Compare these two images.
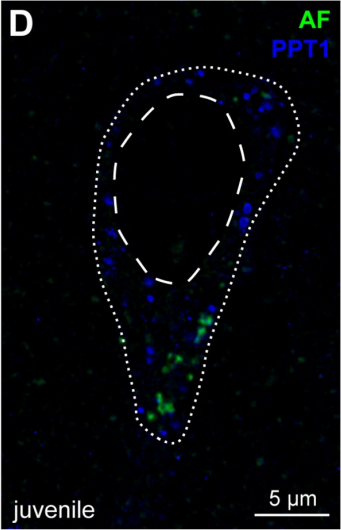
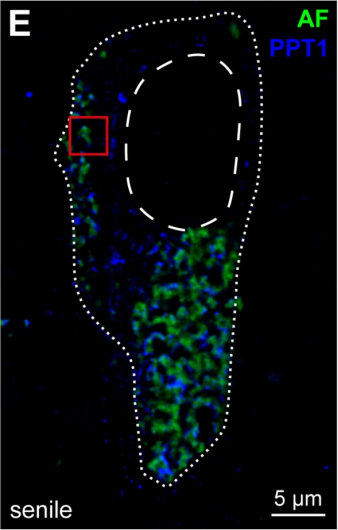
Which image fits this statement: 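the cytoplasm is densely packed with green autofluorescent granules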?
The second image.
